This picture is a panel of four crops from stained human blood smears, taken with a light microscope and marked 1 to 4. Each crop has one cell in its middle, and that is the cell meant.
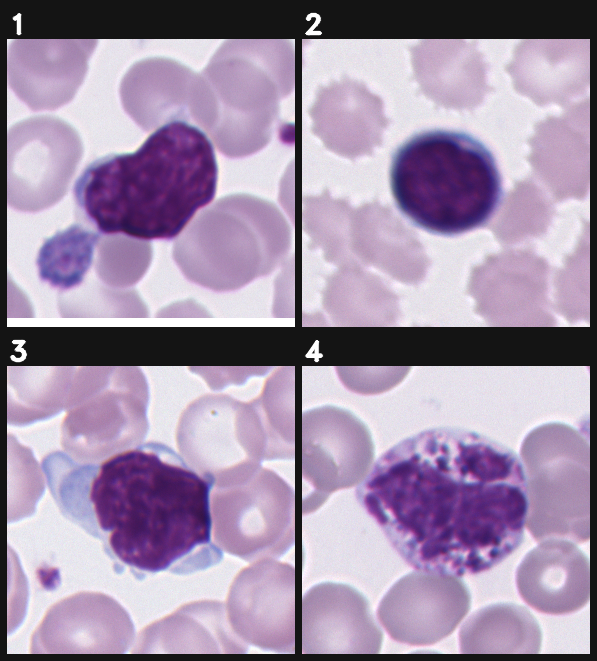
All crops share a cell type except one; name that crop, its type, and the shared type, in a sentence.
Of these crops, only crop 4 is a basophil; the others are lymphocytes.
